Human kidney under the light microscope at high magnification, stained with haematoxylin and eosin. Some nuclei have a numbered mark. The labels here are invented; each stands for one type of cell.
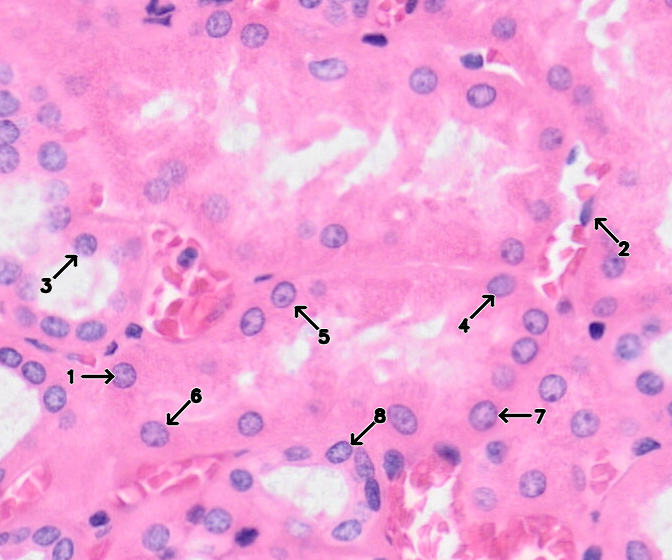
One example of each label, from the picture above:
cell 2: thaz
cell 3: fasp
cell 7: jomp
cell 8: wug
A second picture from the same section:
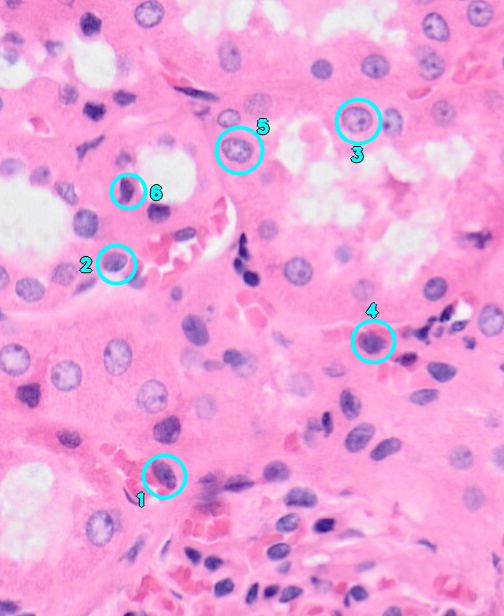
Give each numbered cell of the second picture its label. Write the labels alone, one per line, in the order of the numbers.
thaz
thaz
jomp
thaz
jomp
fasp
